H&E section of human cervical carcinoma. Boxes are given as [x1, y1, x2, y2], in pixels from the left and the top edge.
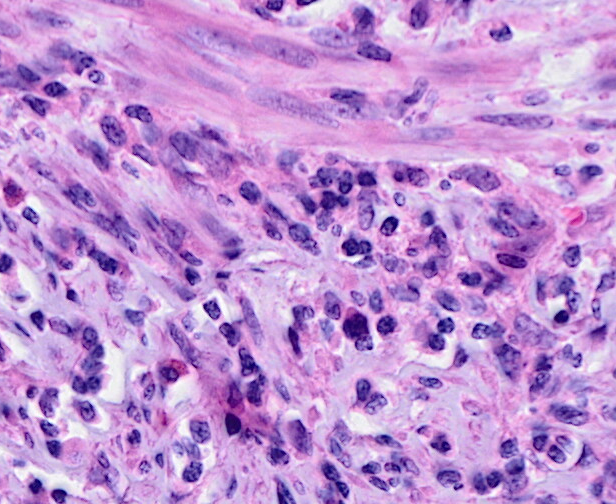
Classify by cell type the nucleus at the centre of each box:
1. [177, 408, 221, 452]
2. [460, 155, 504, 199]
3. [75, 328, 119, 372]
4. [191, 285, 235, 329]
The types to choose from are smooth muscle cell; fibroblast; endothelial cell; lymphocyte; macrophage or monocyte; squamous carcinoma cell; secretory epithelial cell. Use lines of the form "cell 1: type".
cell 1: lymphocyte
cell 2: macrophage or monocyte
cell 3: lymphocyte
cell 4: lymphocyte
